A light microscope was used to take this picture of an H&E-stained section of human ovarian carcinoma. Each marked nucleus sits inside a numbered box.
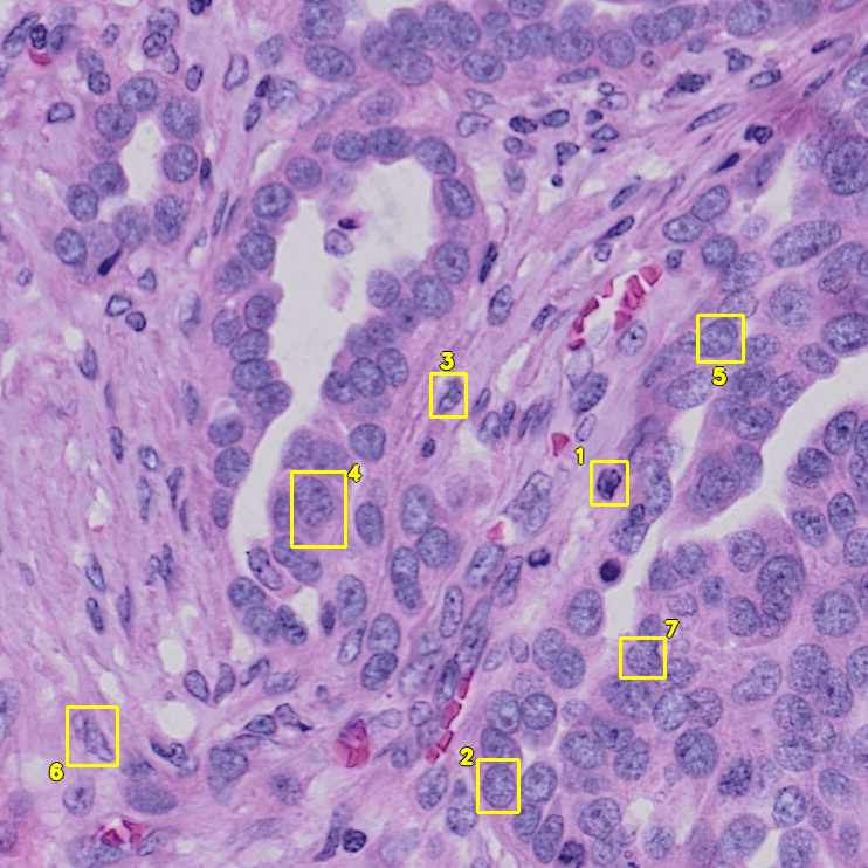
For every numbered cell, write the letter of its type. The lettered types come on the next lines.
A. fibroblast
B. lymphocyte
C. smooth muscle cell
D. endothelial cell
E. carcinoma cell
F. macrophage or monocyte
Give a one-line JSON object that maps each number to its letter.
{"1": "B", "2": "E", "3": "A", "4": "E", "5": "E", "6": "A", "7": "E"}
